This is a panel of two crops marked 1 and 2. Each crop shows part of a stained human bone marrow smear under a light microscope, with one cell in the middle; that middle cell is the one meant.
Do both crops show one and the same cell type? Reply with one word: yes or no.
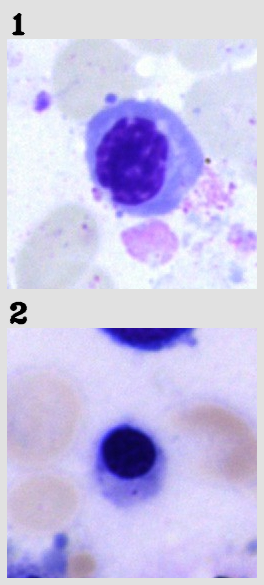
yes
